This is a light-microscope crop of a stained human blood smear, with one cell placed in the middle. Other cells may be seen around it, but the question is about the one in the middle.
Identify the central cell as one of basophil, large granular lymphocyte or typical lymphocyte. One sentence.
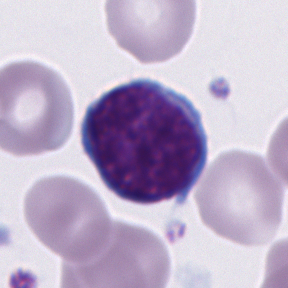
The cell featured at the centre of this crop is a typical lymphocyte.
